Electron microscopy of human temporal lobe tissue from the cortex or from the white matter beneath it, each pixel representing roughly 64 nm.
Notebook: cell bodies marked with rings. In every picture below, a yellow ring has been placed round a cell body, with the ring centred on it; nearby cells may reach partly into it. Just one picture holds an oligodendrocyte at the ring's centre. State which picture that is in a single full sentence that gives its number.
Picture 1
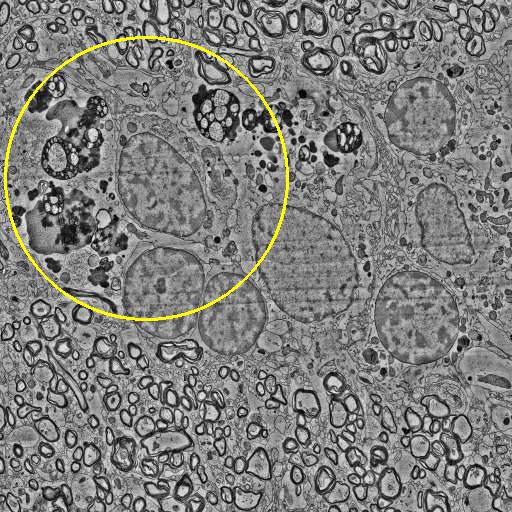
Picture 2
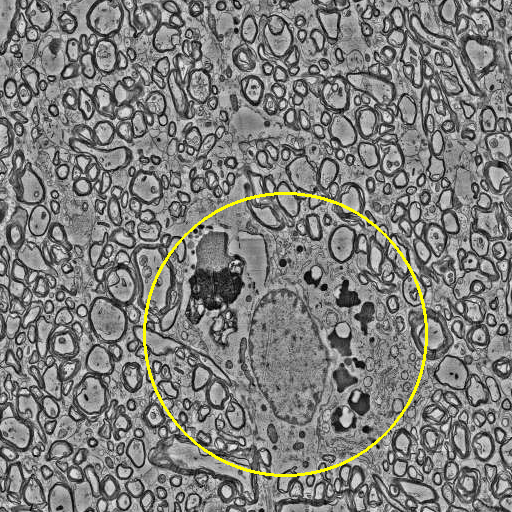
It is picture 1 whose ring has the wanted cell right at its centre.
